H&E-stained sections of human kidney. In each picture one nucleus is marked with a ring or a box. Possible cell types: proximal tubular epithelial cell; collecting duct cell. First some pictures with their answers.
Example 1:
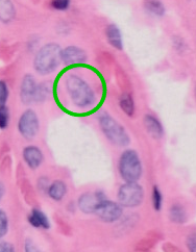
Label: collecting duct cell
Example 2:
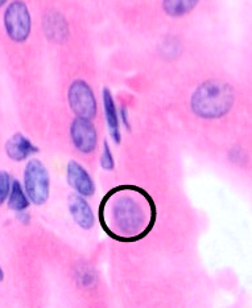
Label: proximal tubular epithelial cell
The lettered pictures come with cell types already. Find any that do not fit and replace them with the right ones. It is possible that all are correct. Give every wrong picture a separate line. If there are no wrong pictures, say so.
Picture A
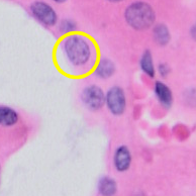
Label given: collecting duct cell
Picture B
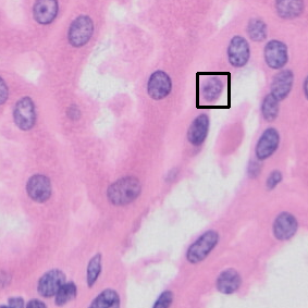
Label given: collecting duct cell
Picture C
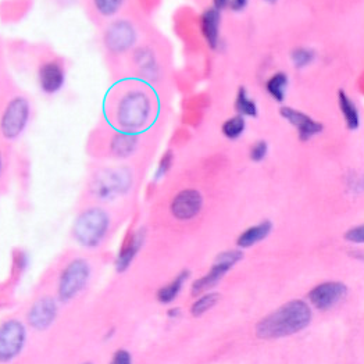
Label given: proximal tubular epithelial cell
C: change proximal tubular epithelial cell to collecting duct cell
